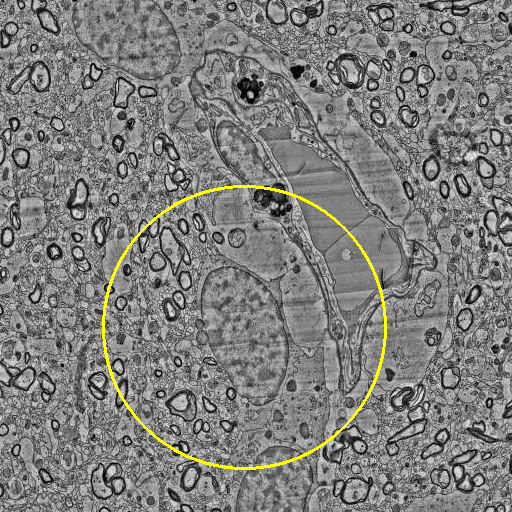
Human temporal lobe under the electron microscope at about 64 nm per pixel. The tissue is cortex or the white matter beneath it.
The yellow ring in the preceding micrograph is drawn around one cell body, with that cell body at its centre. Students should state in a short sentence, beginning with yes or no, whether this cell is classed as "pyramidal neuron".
No, this cell is of another type.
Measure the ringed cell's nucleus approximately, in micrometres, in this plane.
Roughly 9 micrometres long and 5 micrometres wide; in this plane the nucleus is clearly longer than it is wide.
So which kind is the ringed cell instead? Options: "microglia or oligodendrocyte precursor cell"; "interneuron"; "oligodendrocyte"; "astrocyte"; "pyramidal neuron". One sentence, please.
It is an oligodendrocyte that the ring is centred on.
